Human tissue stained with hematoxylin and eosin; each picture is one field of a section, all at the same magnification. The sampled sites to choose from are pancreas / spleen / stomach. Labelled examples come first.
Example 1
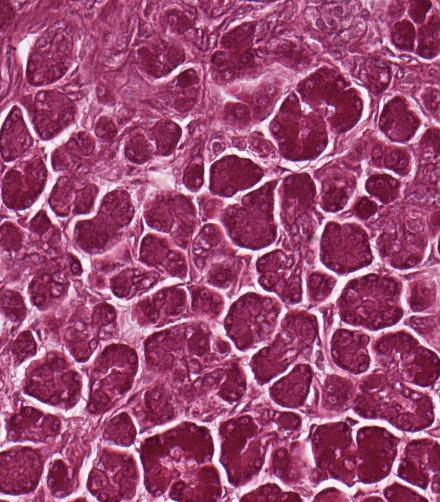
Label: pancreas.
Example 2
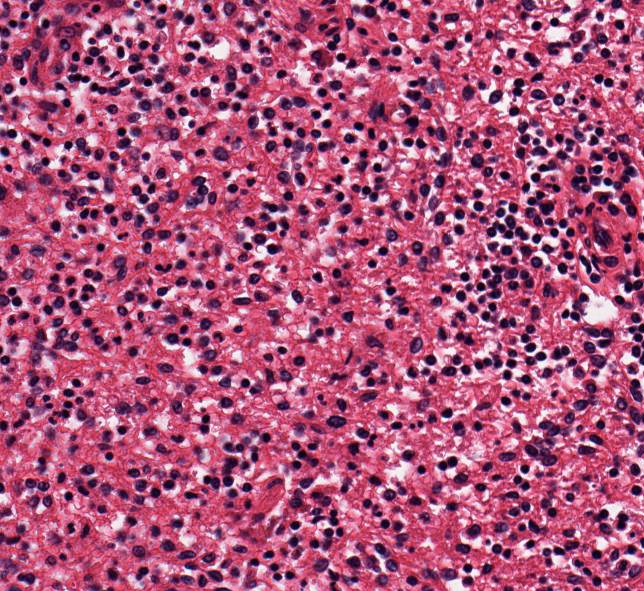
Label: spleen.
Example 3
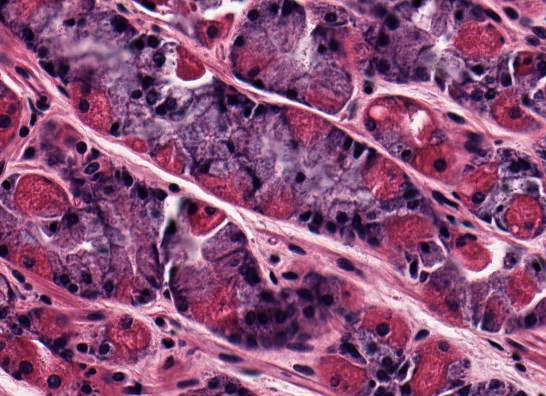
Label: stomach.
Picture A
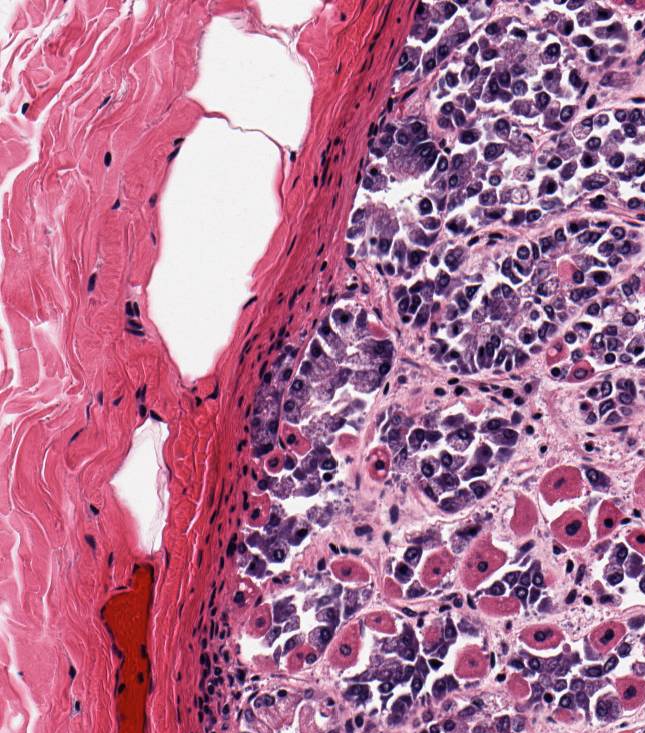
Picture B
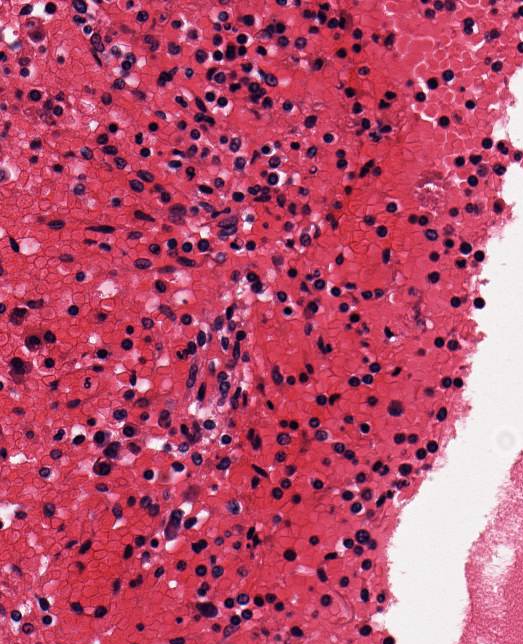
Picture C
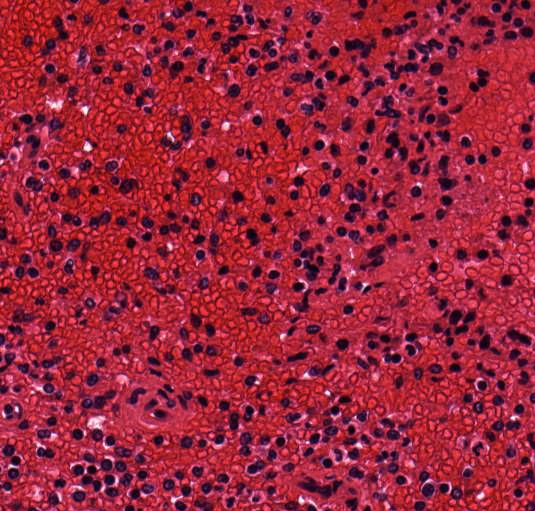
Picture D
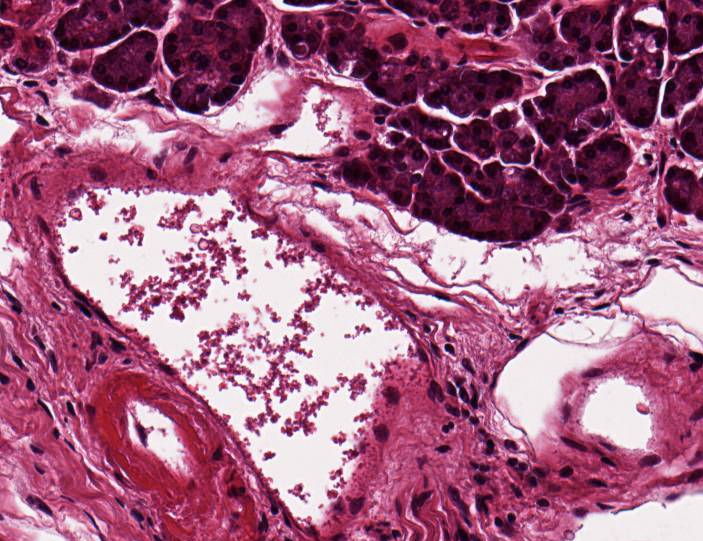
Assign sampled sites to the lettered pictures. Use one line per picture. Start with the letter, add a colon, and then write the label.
A: stomach.
B: spleen.
C: spleen.
D: pancreas.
